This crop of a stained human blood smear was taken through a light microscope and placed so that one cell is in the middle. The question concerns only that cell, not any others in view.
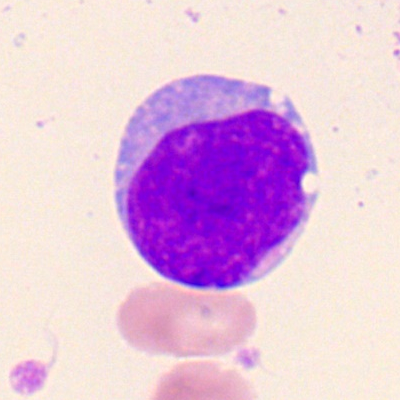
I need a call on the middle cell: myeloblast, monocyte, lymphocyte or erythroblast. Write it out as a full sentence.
The middle cell in this particular crop is a myeloblast.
